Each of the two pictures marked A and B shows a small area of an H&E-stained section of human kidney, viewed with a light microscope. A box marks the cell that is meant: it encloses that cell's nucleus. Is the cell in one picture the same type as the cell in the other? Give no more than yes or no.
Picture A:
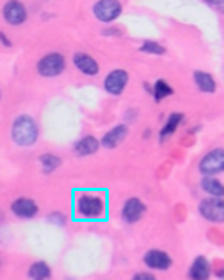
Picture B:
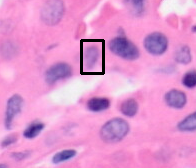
no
